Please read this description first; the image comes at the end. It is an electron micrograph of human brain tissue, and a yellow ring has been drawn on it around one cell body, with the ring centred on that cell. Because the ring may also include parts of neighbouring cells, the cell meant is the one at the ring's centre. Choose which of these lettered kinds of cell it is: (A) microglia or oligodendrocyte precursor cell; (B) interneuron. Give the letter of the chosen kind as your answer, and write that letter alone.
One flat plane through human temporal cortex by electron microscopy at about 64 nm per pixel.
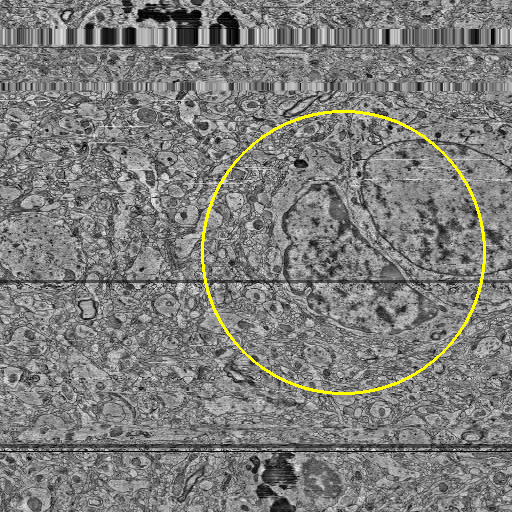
A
